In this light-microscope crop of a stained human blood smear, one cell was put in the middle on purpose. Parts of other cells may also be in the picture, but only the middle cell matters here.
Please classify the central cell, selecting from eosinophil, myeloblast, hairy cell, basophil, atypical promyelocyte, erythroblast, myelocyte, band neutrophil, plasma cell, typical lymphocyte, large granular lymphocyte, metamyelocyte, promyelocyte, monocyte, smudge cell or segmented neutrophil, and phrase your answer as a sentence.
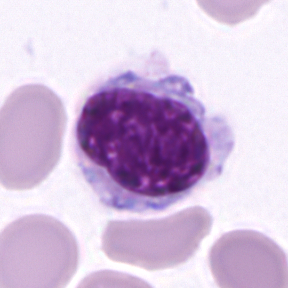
The middle of this crop holds a plasma cell.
